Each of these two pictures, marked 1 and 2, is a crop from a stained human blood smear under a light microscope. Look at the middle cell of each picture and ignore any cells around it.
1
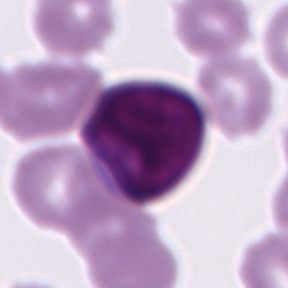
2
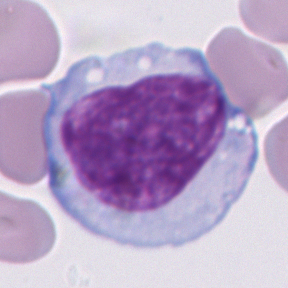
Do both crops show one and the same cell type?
yes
